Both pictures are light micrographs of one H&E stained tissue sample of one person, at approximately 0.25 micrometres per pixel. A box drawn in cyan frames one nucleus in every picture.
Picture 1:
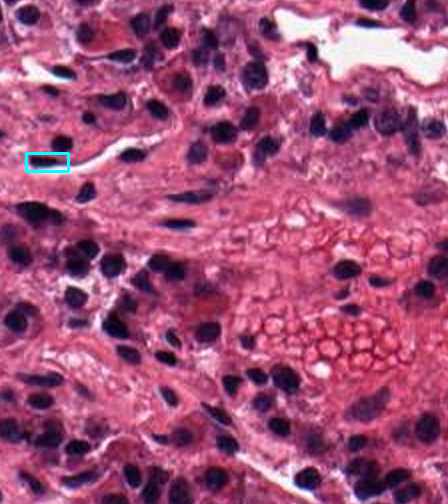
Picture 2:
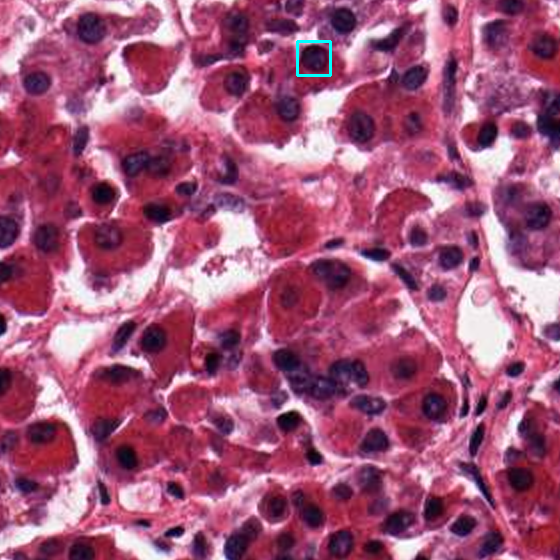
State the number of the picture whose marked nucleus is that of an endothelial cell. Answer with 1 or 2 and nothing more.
1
